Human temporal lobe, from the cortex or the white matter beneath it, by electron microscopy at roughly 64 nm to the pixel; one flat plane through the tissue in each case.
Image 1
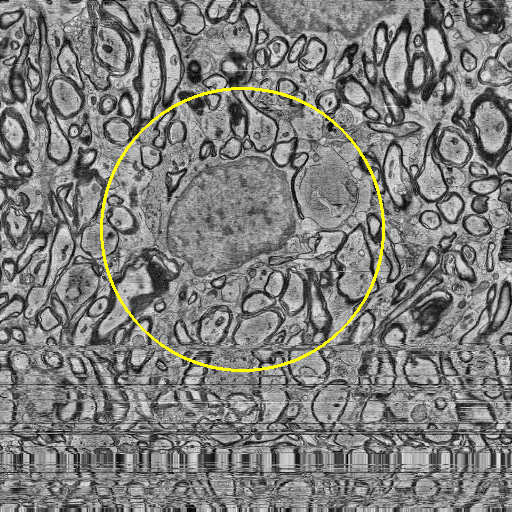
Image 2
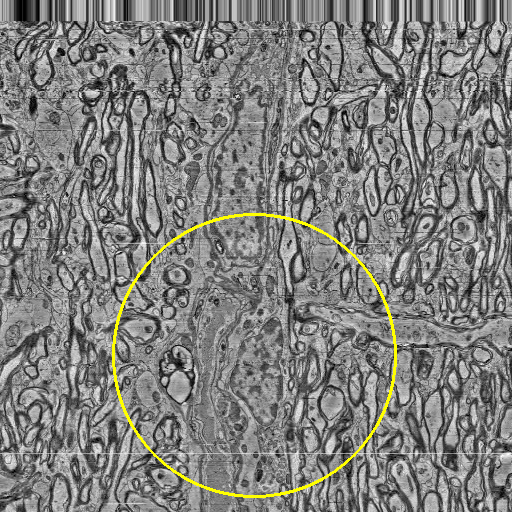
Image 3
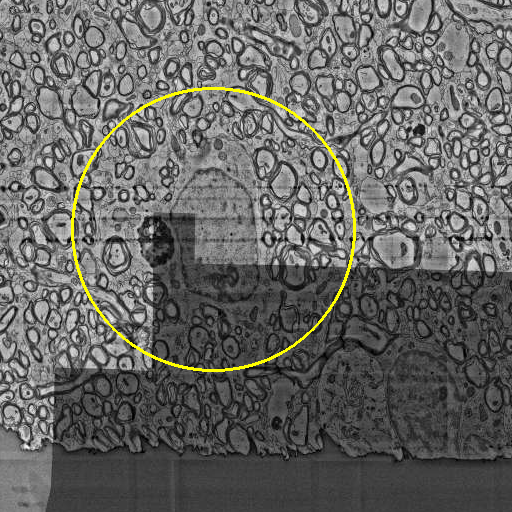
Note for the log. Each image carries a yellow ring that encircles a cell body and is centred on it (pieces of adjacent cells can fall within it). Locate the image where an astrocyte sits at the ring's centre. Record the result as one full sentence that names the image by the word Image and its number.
Image 3 has the wanted cell sitting at the centre of its ring.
